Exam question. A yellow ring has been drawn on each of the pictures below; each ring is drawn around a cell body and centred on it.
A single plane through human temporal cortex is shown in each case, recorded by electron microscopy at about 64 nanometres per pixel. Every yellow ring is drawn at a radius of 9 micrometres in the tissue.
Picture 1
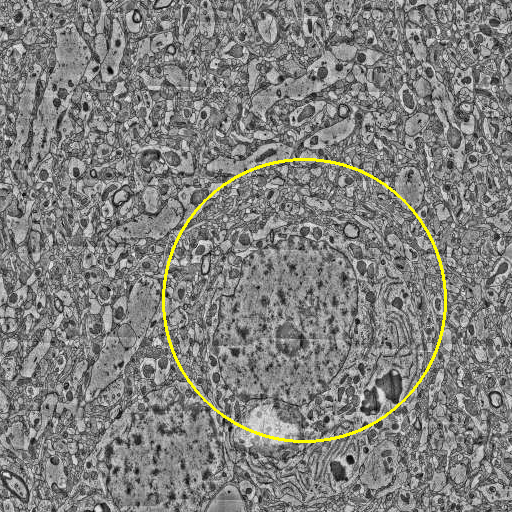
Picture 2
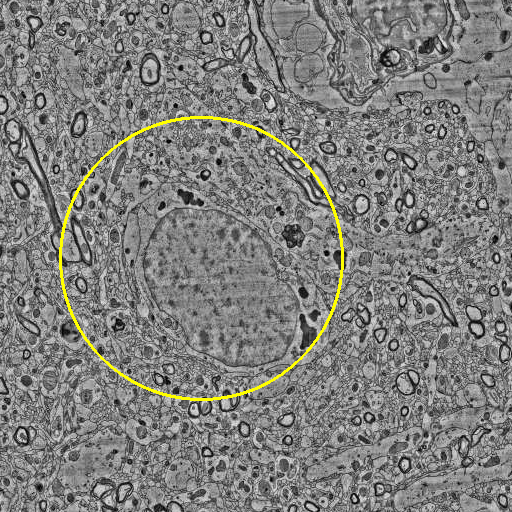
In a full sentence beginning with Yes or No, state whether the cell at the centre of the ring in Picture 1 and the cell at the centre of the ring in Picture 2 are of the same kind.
Yes, the two cells are of the same kind.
